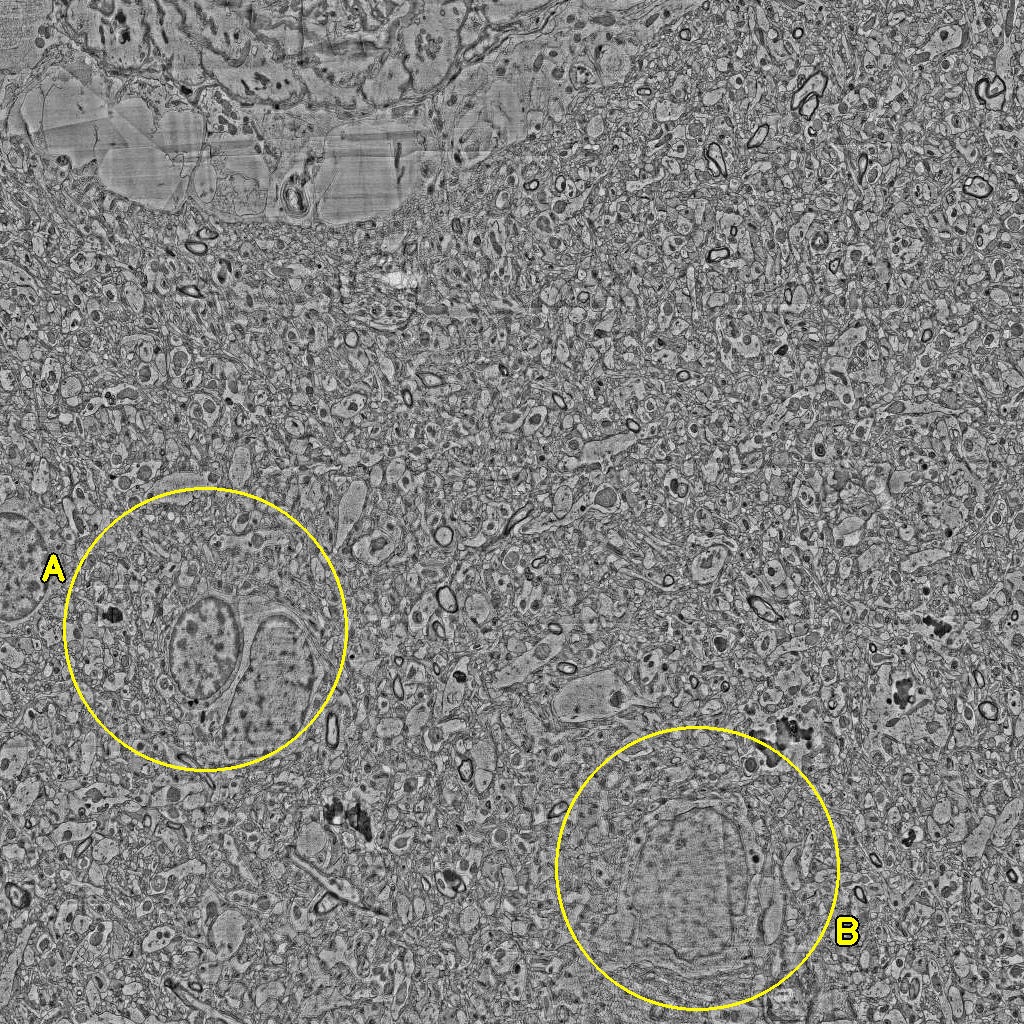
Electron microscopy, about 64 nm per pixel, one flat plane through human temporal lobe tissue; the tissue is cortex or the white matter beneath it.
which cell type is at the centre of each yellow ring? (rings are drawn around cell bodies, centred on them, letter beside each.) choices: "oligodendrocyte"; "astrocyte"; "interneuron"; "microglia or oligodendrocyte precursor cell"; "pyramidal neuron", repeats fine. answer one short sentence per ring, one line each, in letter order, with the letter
Ring A is an oligodendrocyte.
Ring B is an interneuron.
